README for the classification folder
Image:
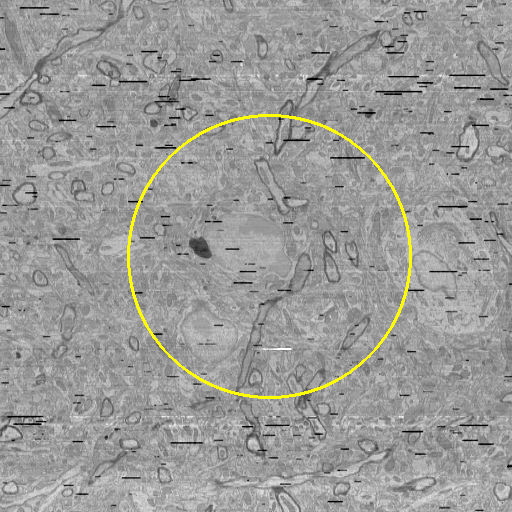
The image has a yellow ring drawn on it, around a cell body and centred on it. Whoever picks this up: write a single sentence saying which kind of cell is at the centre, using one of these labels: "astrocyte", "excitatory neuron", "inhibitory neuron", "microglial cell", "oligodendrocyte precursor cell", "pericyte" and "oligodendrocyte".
This cell body is that of a microglial cell.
